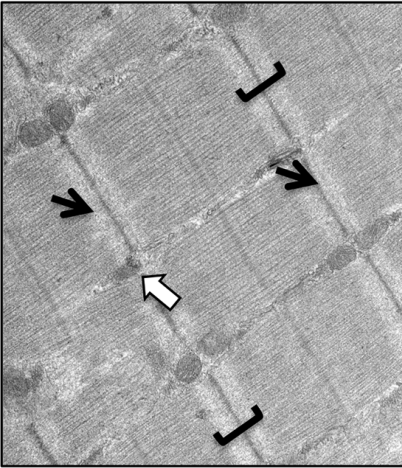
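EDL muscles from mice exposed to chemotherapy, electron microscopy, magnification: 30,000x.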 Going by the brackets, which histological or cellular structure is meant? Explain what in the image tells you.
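Brackets span pale bands centred on dark oblique transverse lines. The pale bands alternate with darker striated bands.
Hence: I-bands.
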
